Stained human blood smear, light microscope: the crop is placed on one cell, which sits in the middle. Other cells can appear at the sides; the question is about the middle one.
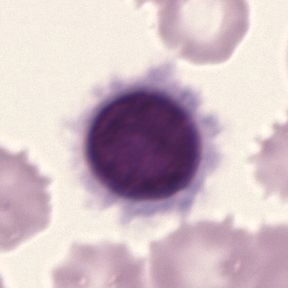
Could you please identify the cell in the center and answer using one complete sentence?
Here the centrally located cell is a hairy cell.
